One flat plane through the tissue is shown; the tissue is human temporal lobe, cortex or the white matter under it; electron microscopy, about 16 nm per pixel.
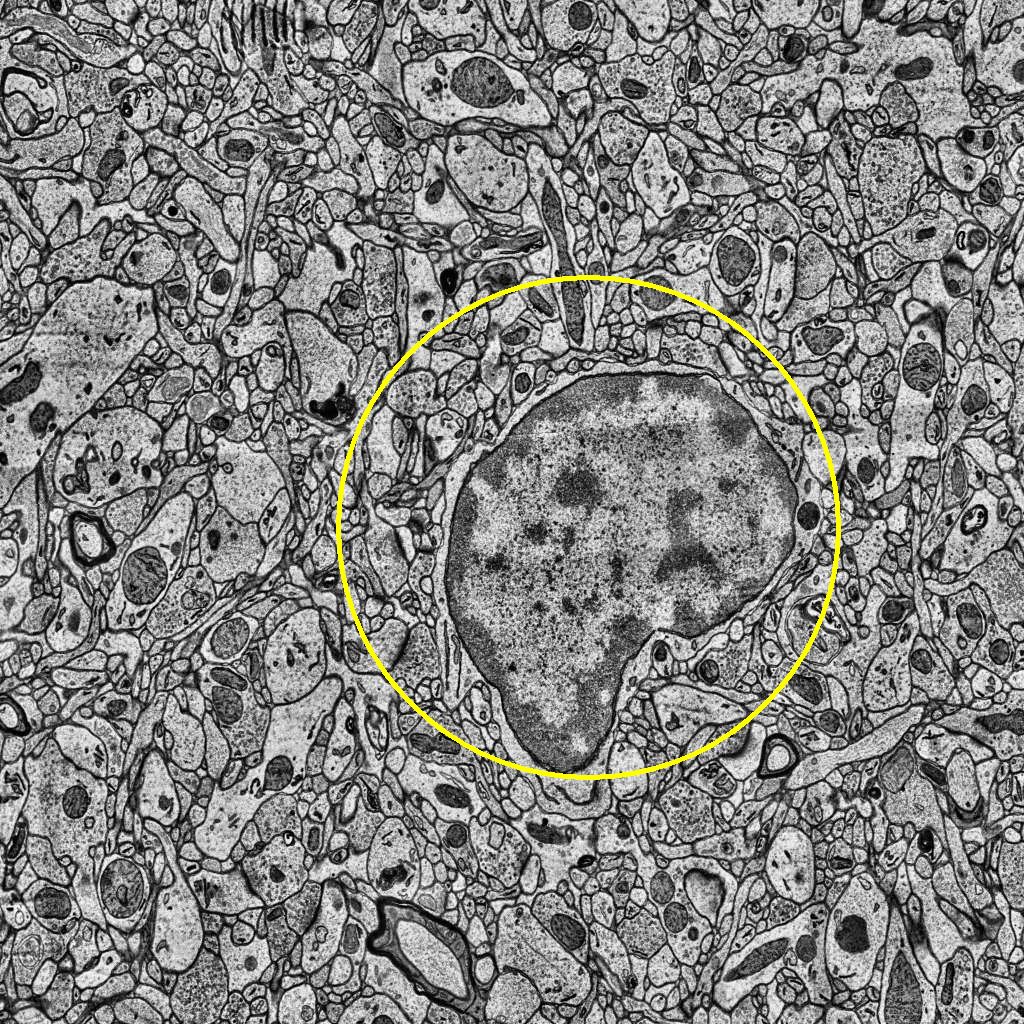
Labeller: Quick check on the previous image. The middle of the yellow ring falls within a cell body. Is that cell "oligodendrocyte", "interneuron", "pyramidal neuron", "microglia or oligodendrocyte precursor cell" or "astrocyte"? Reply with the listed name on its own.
microglia or oligodendrocyte precursor cell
